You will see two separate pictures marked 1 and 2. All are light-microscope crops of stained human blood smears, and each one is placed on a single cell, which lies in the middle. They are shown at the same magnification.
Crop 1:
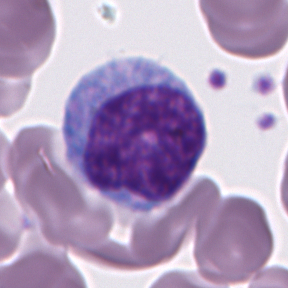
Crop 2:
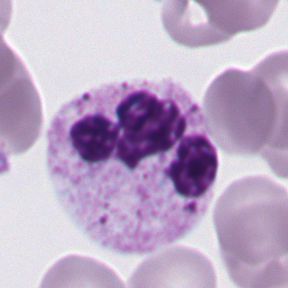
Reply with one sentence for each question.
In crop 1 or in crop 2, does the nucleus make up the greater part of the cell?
The nucleus fills more of the cell in crop 1 than in crop 2.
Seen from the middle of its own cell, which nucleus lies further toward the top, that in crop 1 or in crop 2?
Seen within its cell, the nucleus in crop 2 lies further toward the top.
